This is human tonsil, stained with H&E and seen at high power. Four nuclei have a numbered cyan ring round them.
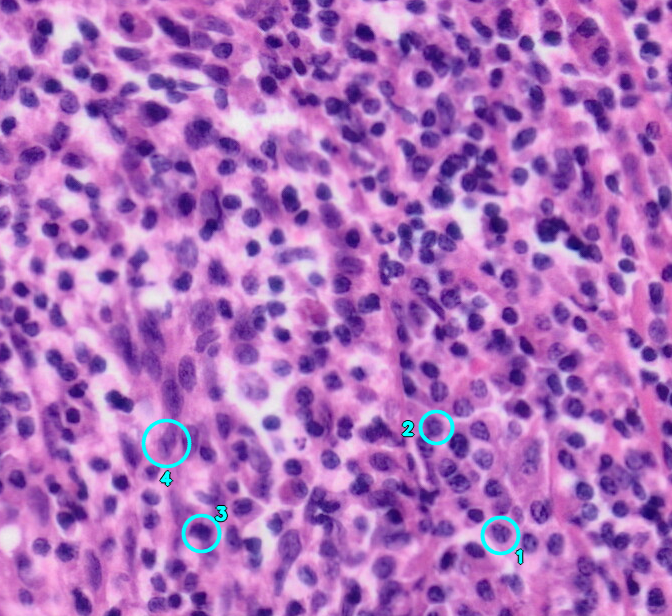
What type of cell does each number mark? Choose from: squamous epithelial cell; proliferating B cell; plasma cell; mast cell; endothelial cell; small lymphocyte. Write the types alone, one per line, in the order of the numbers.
plasma cell
plasma cell
squamous epithelial cell
squamous epithelial cell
